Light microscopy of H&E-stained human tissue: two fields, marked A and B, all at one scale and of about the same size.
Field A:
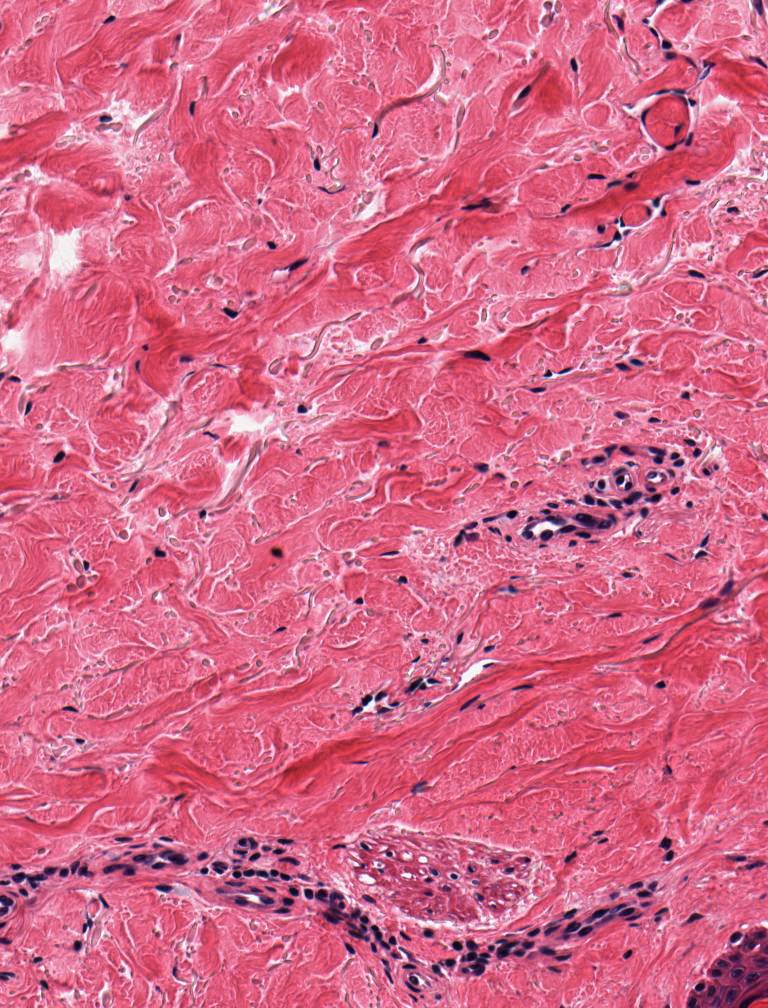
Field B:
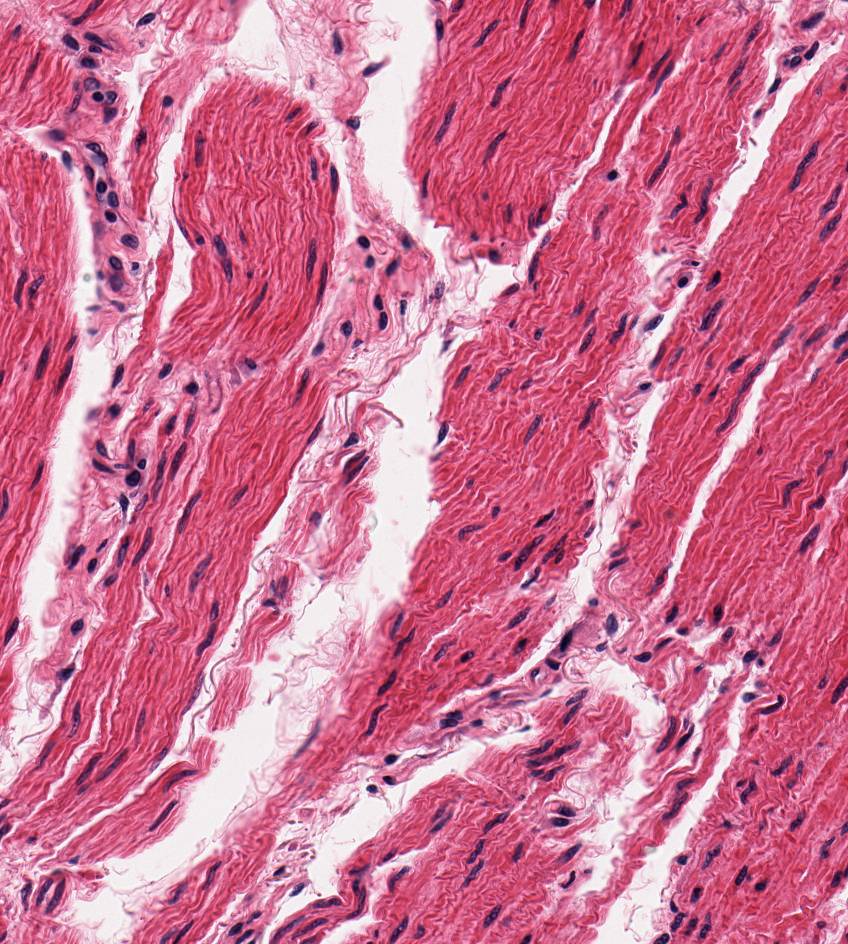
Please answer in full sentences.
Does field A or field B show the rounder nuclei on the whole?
It is field A whose nuclei are the rounder.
